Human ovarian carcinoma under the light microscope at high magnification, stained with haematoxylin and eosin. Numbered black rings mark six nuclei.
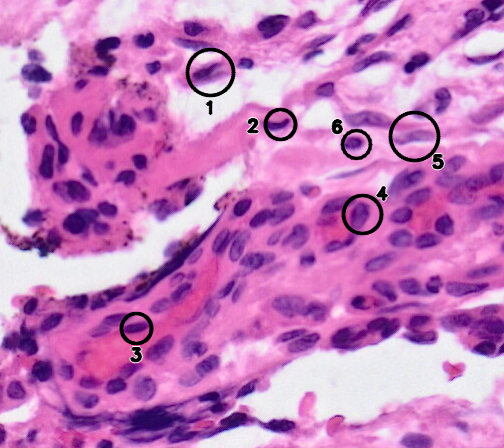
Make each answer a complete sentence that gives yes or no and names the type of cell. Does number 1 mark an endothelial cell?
No, cell 1 is a fibroblast and should not be called an endothelial cell.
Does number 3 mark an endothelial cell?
Yes, the cell distinguished by number 3 is an endothelial cell.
